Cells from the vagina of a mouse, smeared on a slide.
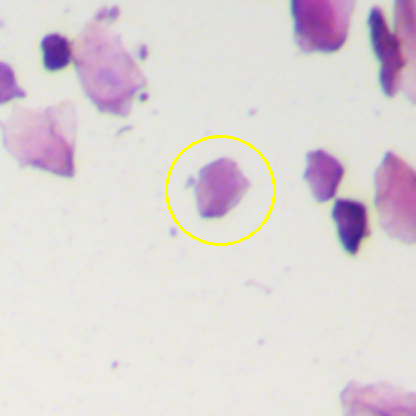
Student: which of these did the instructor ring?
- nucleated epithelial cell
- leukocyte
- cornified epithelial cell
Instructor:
The cell I ringed is a cornified epithelial cell.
